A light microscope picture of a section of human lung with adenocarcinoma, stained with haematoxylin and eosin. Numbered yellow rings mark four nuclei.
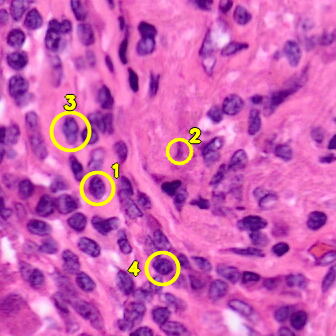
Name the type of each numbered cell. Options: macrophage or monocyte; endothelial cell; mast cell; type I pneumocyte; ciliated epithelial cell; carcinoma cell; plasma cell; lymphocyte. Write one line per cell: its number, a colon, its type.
1: lymphocyte
2: plasma cell
3: lymphocyte
4: lymphocyte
